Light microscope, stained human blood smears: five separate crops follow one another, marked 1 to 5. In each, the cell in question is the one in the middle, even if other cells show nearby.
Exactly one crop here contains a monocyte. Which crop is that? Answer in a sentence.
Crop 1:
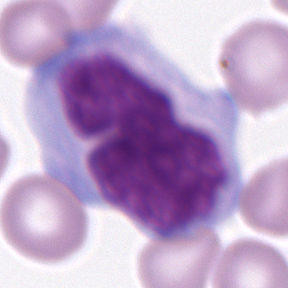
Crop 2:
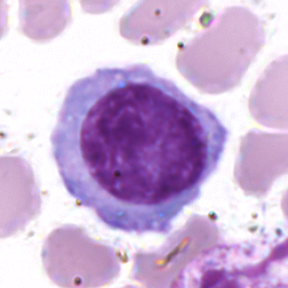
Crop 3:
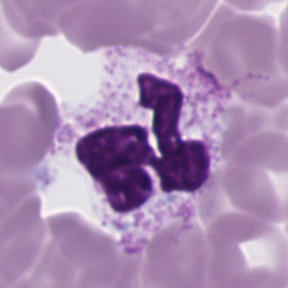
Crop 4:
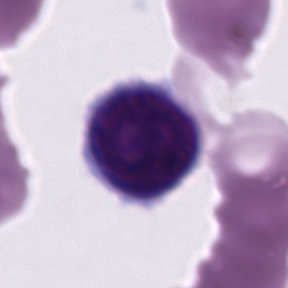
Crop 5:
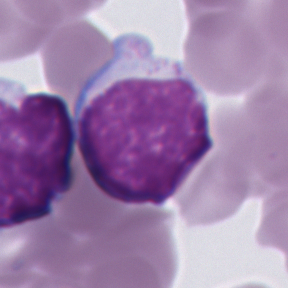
Crop 1 alone, of all the crops, shows a monocyte.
